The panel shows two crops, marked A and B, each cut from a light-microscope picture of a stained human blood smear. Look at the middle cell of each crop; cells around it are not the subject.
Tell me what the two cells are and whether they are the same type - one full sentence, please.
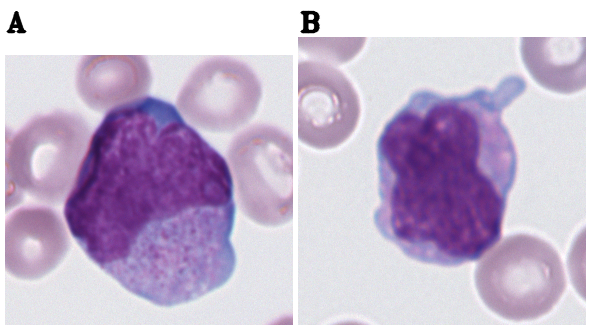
Yes, the cells under consideration in both crops are atypical promyelocytes.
